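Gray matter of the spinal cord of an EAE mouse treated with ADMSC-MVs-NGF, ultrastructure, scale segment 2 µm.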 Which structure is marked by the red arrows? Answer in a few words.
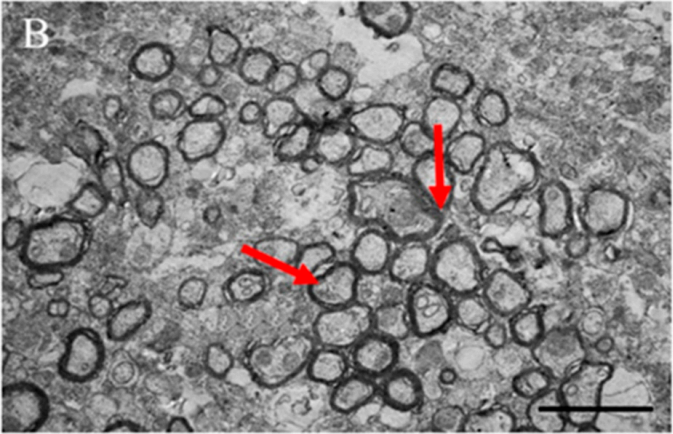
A: remyelinating fibers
